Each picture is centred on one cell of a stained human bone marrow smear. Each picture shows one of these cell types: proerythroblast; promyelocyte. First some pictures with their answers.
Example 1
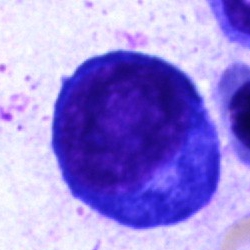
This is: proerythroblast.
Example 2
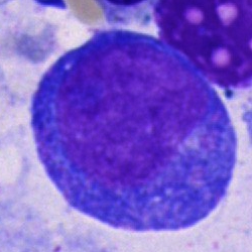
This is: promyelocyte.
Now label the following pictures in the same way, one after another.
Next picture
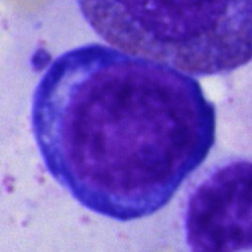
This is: proerythroblast.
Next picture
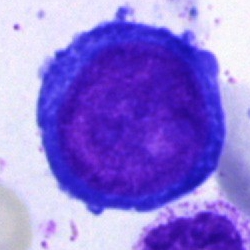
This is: proerythroblast.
